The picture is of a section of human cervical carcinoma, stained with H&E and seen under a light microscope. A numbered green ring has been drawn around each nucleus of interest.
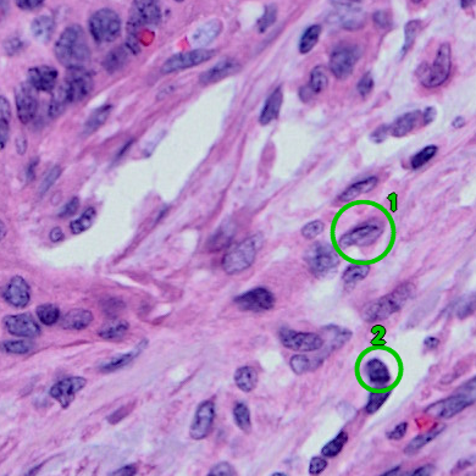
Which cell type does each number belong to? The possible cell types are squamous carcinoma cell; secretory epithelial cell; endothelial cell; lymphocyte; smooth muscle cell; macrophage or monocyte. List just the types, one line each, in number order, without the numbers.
macrophage or monocyte
lymphocyte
